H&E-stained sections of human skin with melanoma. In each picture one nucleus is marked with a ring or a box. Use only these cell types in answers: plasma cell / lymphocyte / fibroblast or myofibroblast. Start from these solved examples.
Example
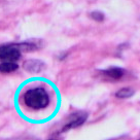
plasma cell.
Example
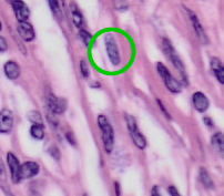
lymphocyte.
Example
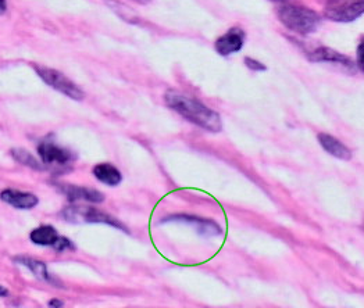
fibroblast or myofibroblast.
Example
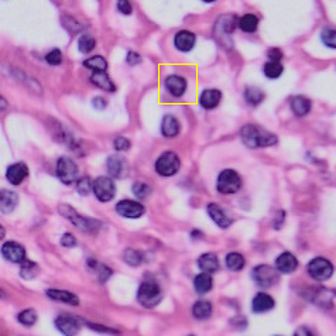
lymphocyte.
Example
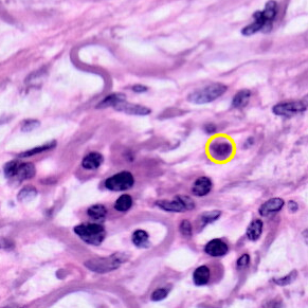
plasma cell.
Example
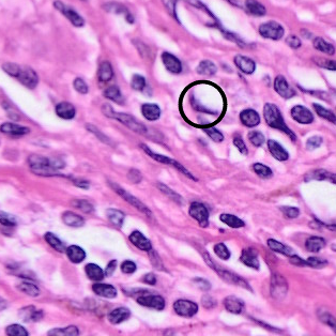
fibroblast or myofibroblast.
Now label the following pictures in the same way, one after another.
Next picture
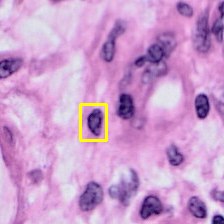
lymphocyte.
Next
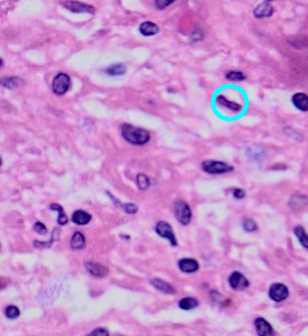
fibroblast or myofibroblast.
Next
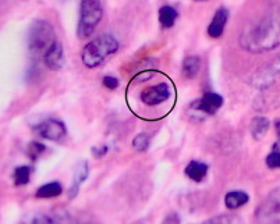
lymphocyte.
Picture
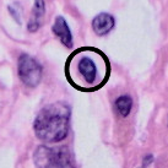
lymphocyte.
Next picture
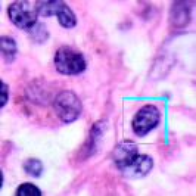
lymphocyte.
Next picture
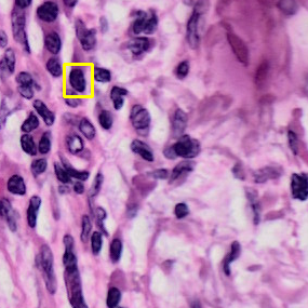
plasma cell.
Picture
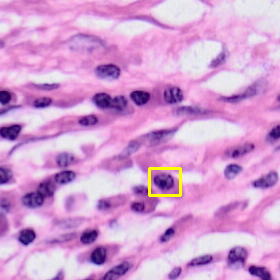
plasma cell.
